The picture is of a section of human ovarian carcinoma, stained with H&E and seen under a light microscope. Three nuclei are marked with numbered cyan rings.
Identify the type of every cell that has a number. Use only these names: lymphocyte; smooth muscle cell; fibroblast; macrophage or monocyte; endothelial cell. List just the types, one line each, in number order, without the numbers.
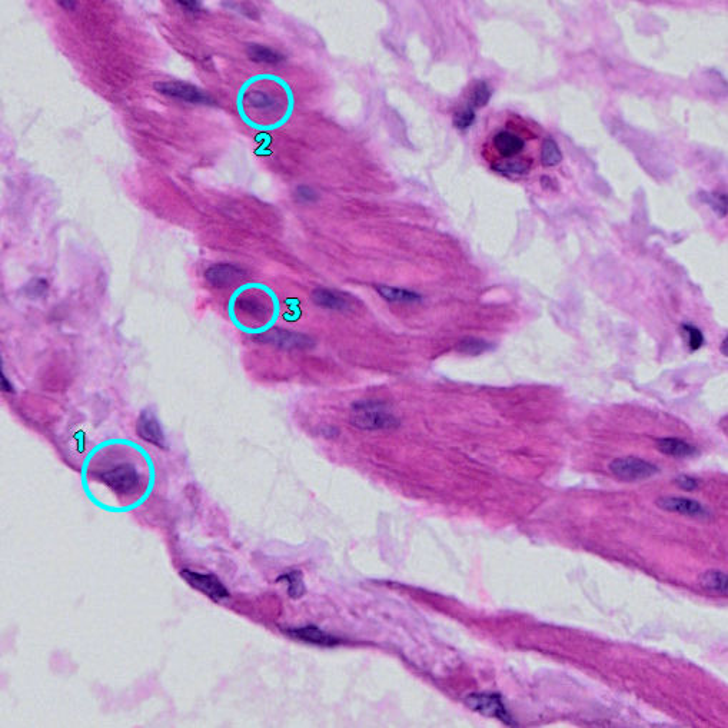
endothelial cell
smooth muscle cell
smooth muscle cell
